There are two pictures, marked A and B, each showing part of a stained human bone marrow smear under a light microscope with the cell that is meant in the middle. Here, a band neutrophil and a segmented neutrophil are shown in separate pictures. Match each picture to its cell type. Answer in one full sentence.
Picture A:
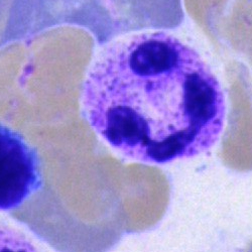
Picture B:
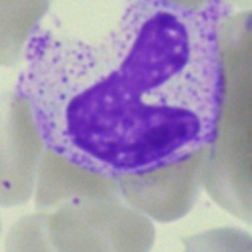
Picture B shows a band neutrophil, while picture A shows a segmented neutrophil.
